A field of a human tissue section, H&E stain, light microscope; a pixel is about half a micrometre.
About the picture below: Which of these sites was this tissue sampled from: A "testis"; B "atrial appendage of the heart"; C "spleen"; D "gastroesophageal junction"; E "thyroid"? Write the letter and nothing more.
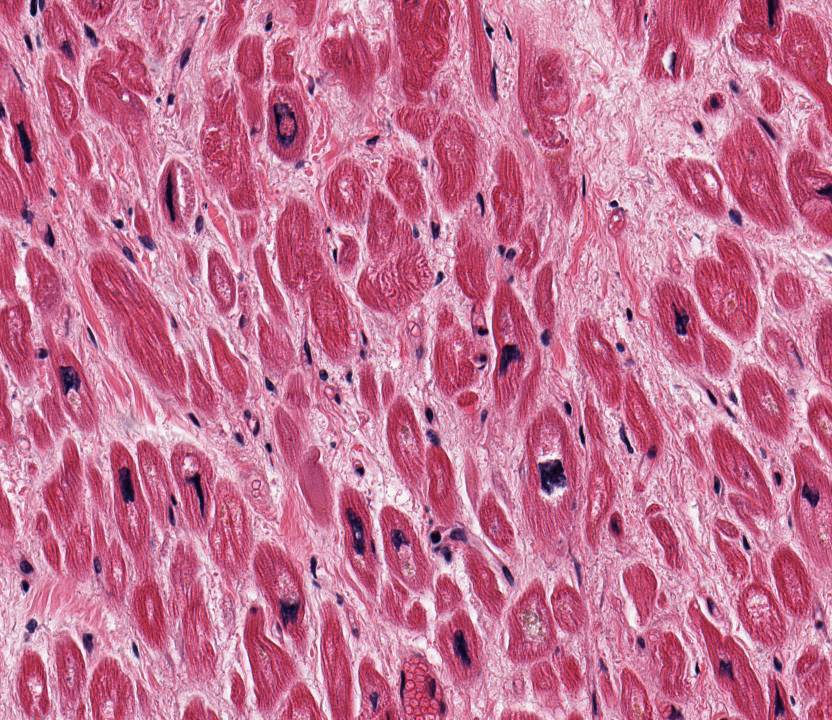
B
